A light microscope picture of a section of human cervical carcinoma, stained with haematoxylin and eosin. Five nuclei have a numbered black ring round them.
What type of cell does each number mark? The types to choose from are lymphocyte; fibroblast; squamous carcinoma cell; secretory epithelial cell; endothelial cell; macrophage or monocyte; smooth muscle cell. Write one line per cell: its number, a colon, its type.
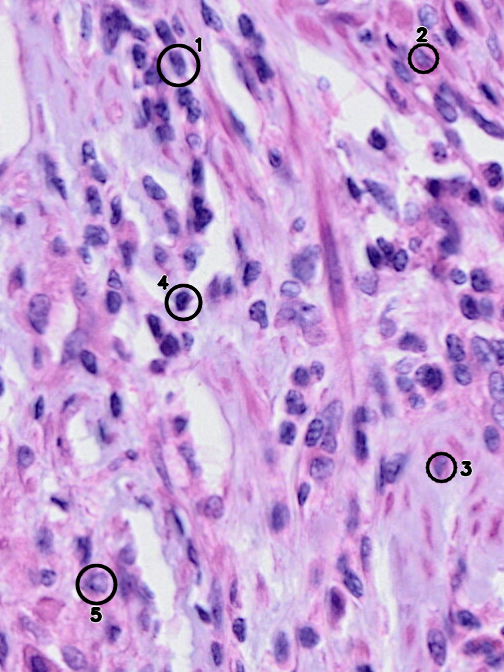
1: lymphocyte
2: smooth muscle cell
3: smooth muscle cell
4: lymphocyte
5: macrophage or monocyte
